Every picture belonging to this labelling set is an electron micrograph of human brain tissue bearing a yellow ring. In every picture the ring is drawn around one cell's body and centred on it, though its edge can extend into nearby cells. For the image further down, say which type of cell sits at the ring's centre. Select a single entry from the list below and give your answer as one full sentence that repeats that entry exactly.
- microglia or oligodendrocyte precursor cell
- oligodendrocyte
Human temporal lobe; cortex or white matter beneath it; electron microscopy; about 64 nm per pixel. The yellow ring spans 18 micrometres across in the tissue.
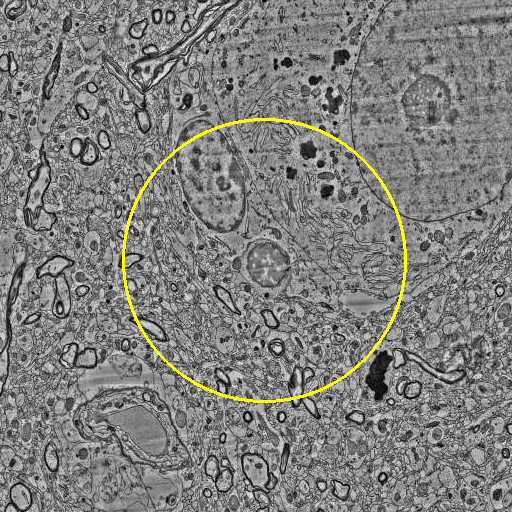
In the picture, an oligodendrocyte is the cell at the centre of the yellow ring.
